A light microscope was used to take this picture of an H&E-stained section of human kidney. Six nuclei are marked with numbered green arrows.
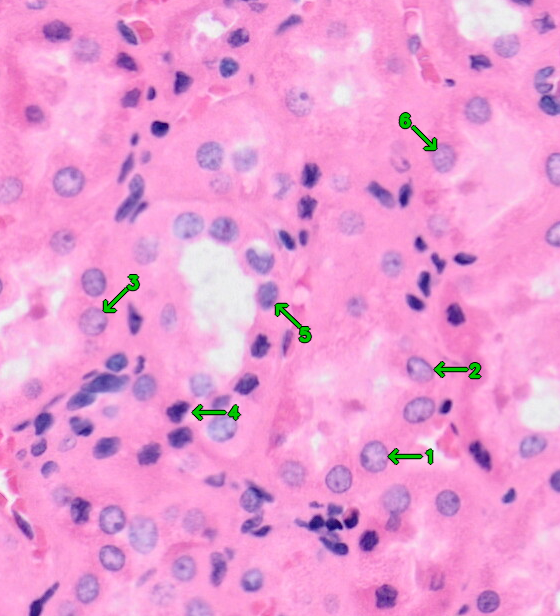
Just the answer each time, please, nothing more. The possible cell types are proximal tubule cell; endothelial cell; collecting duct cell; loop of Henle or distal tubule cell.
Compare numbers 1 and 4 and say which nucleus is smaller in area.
4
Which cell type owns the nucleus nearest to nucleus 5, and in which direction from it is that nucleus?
a loop of Henle or distal tubule cell; above nucleus 5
